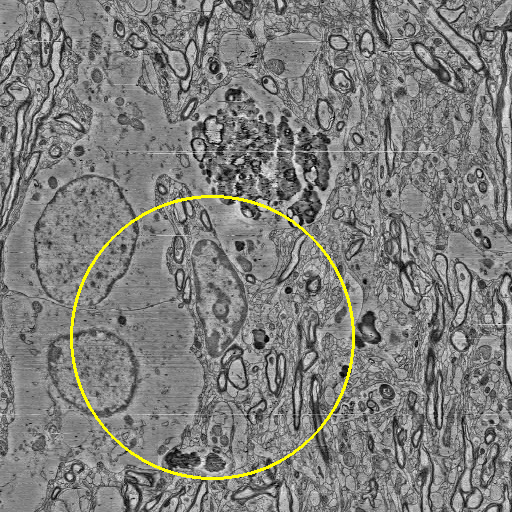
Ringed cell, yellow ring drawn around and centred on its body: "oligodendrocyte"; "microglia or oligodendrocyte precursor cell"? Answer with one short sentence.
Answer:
This ringed cell is a microglial cell or oligodendrocyte precursor cell.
